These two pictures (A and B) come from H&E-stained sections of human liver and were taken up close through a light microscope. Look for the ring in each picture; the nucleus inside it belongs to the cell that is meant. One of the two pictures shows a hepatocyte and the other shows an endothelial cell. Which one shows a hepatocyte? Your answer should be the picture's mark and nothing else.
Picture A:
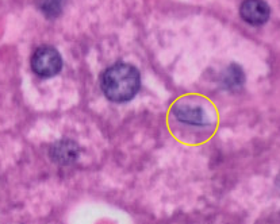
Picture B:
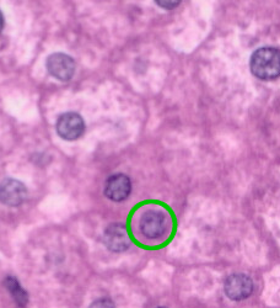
B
